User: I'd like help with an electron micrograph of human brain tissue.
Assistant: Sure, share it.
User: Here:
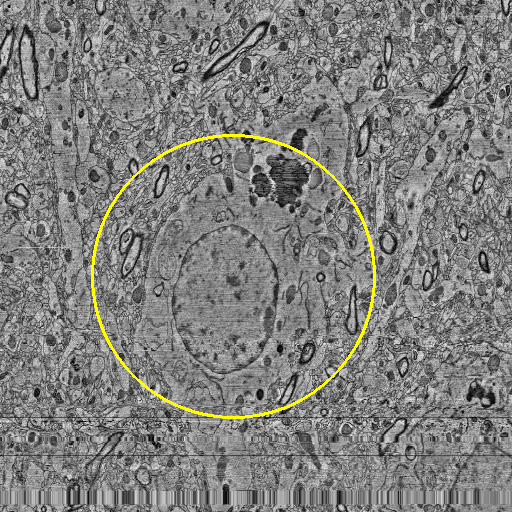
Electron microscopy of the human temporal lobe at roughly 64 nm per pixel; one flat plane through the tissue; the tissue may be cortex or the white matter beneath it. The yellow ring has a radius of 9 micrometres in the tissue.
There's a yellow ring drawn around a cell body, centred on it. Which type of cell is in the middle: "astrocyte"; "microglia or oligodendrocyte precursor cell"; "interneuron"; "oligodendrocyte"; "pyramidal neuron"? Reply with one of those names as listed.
astrocyte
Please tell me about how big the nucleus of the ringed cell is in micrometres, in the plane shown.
The nucleus measures about 10 by 7 micrometres, so it is clearly longer than it is wide in this plane.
